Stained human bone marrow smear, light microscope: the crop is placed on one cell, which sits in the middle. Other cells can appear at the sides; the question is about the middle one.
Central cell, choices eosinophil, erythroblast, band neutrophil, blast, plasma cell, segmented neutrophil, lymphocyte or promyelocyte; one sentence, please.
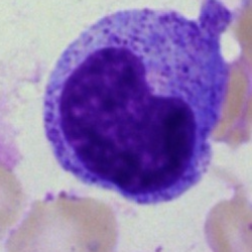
The cell featured at the centre of this crop is a promyelocyte.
